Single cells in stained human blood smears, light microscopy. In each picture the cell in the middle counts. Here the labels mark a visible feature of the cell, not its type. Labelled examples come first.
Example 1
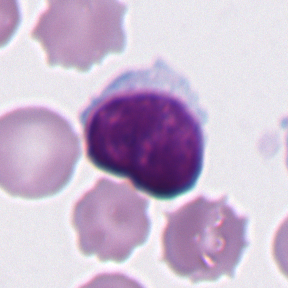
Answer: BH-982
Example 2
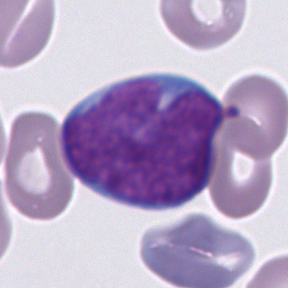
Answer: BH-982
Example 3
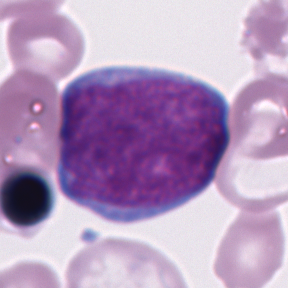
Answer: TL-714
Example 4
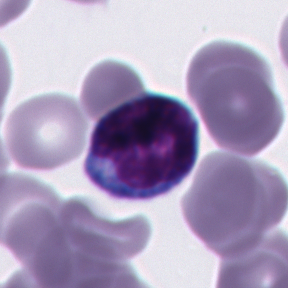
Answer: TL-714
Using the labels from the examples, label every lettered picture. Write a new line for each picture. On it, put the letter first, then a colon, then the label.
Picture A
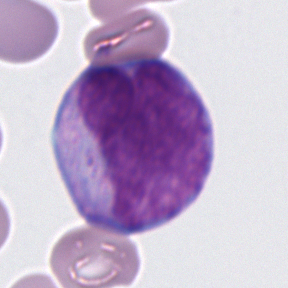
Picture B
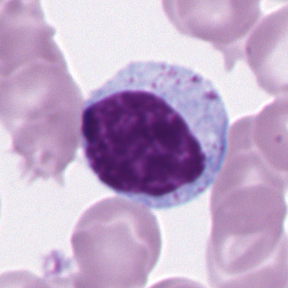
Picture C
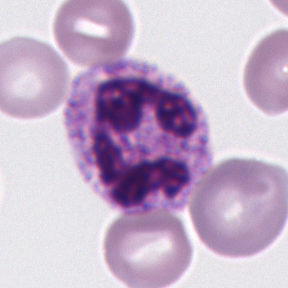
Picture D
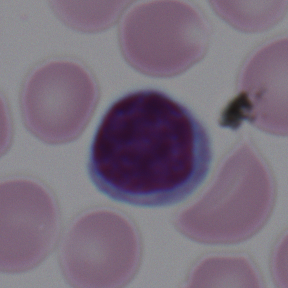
A: TL-714
B: TL-714
C: TL-714
D: TL-714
